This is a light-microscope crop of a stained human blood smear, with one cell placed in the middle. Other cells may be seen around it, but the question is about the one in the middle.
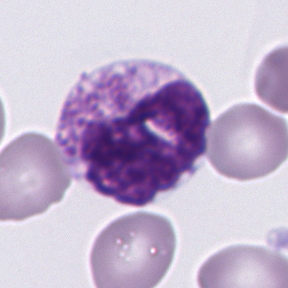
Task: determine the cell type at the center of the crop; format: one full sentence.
For this crop, the cell in the middle is a basophil.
